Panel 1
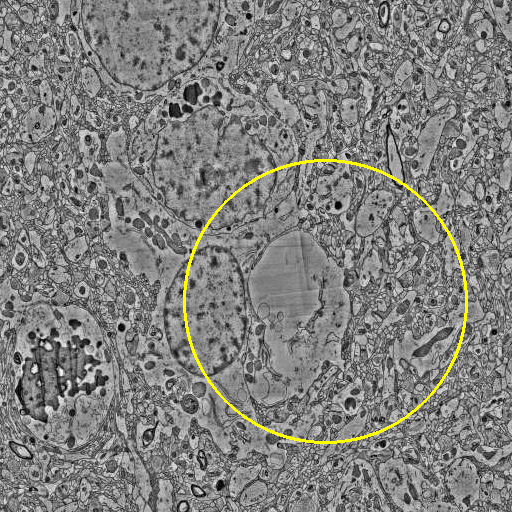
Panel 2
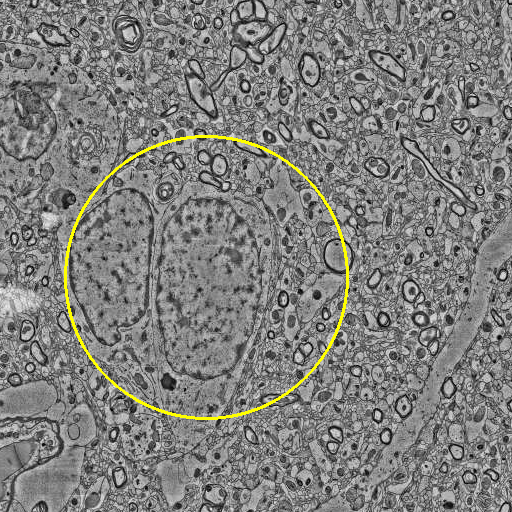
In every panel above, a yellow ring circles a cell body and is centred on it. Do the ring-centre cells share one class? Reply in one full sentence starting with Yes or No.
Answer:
No, the two cells at the ring centres in the panels belong to two classes.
